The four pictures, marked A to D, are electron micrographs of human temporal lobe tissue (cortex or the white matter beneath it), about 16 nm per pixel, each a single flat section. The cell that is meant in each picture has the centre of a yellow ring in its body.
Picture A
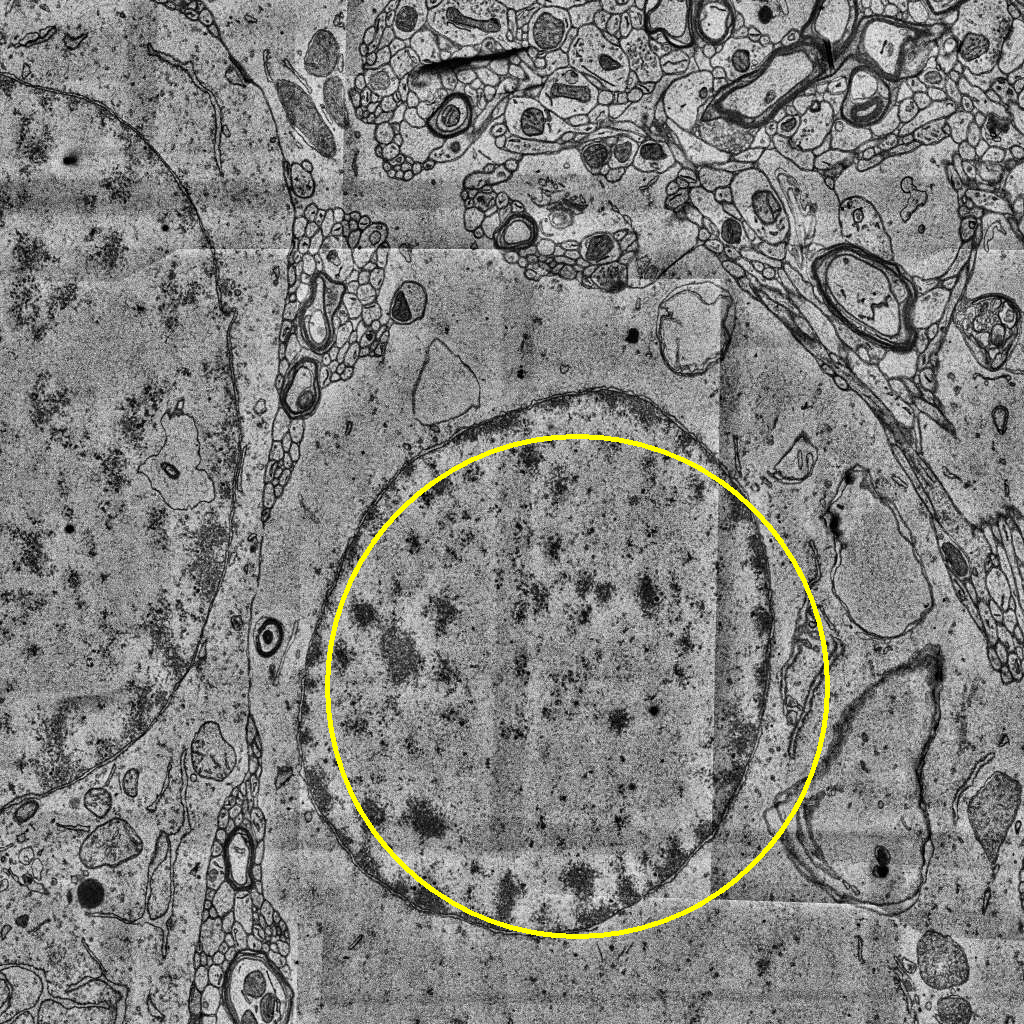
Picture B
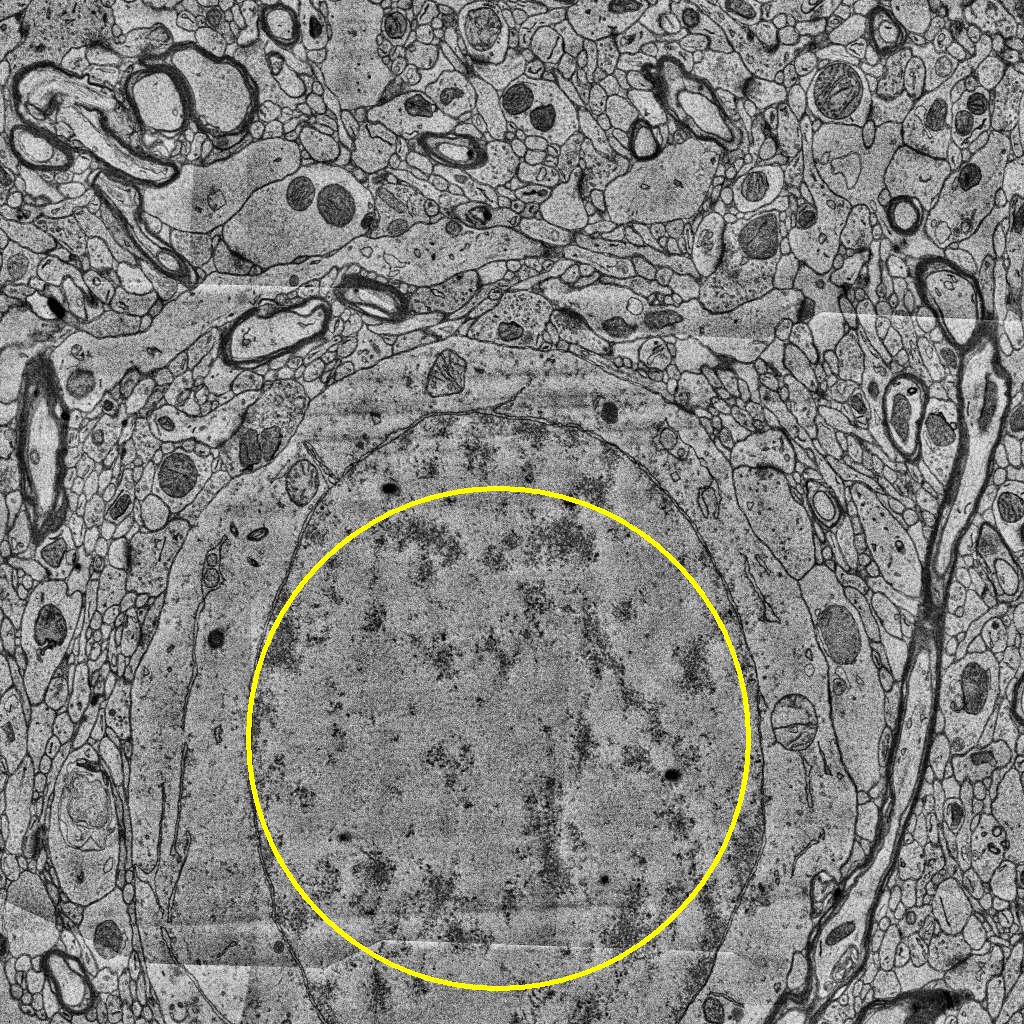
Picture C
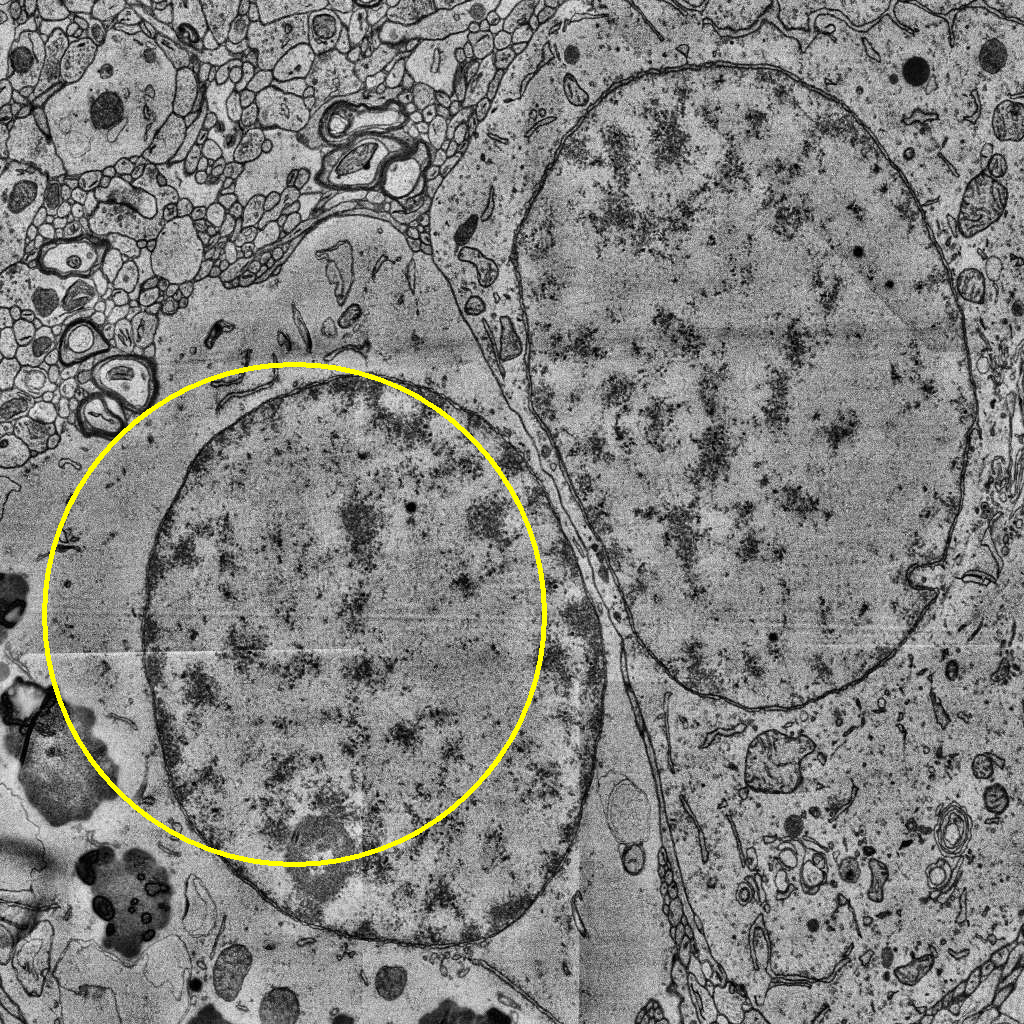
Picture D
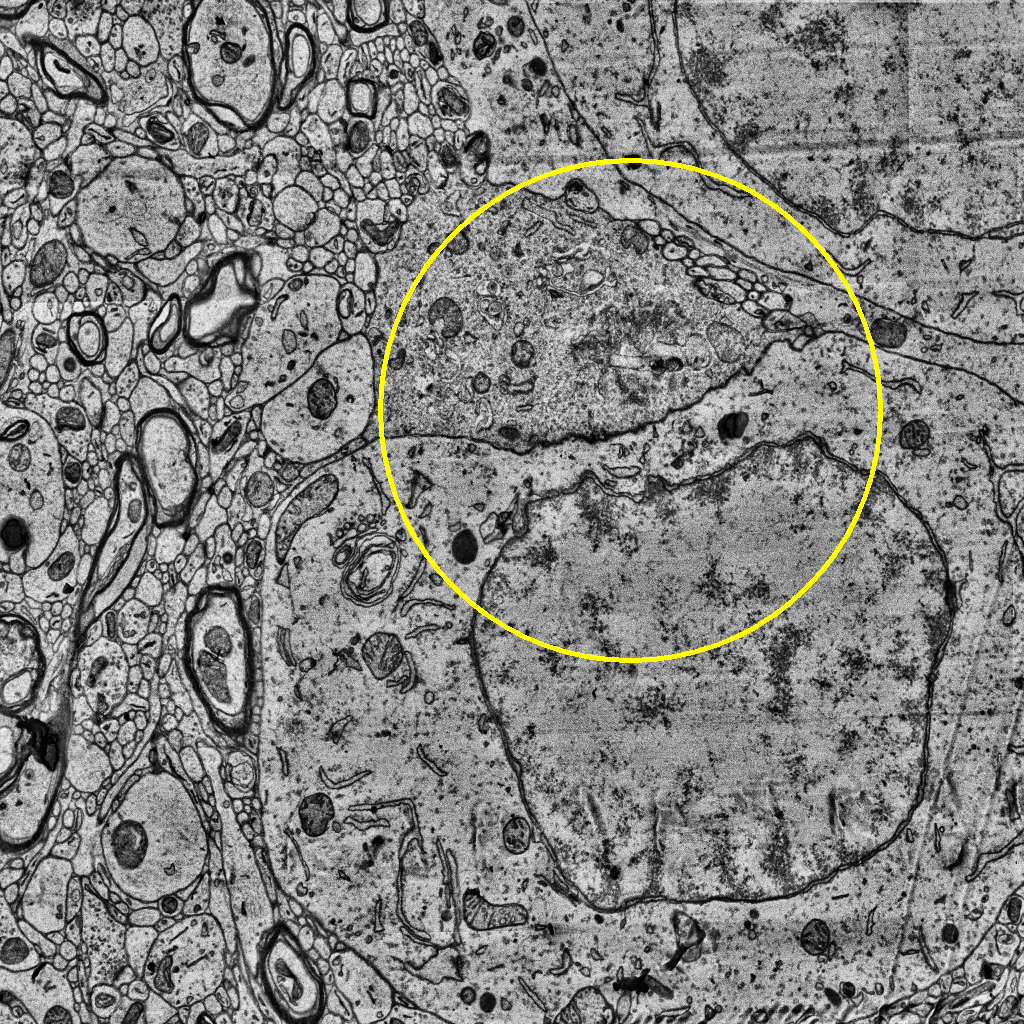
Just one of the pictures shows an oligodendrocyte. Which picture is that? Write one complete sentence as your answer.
Picture D is the one that shows the oligodendrocyte.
